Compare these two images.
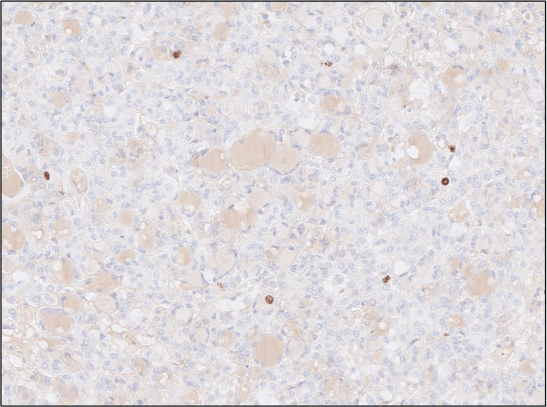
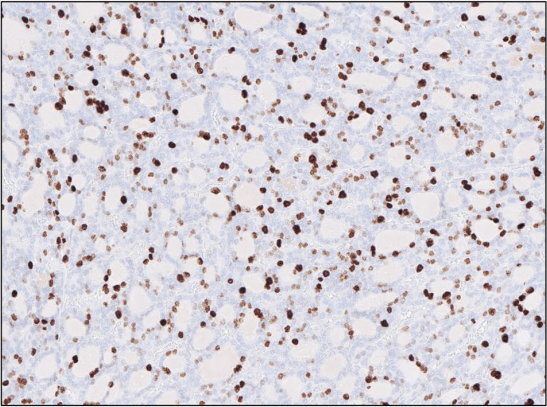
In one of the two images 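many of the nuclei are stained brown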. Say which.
The second image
